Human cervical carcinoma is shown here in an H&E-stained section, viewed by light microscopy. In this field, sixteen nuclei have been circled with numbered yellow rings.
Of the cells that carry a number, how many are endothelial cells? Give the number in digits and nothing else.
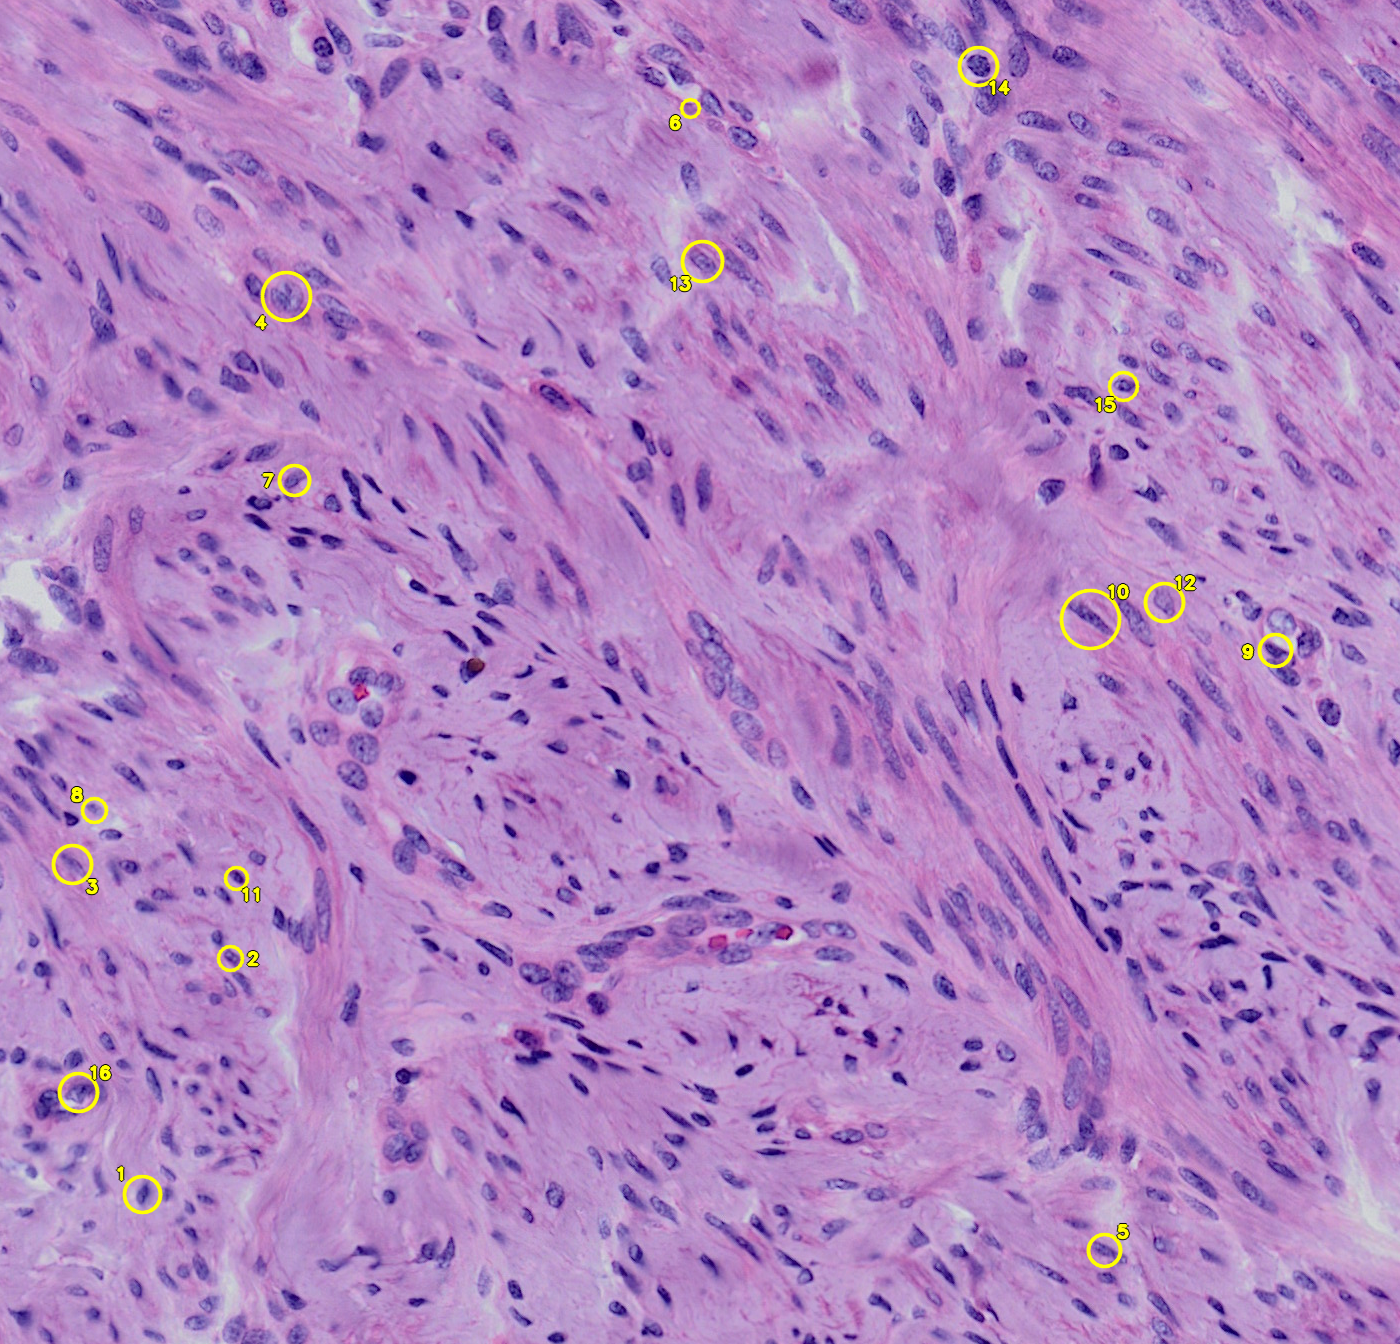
4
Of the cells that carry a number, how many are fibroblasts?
2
